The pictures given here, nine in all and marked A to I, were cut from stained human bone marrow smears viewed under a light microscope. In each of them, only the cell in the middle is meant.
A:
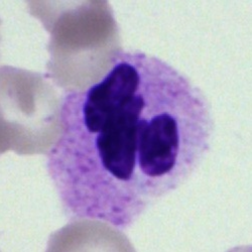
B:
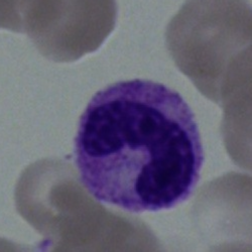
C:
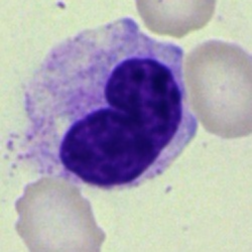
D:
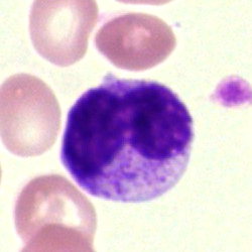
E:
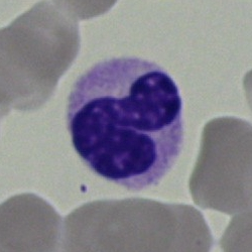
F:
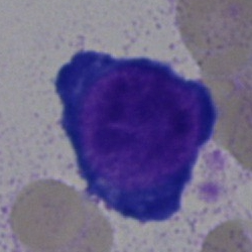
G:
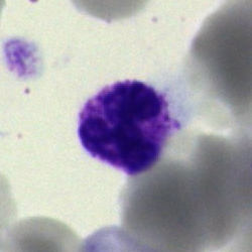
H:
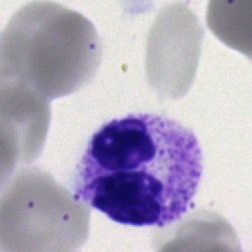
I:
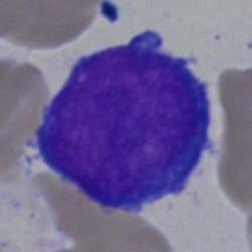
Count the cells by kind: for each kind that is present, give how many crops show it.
band neutrophil: 4
segmented neutrophil: 3
proerythroblast: 2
